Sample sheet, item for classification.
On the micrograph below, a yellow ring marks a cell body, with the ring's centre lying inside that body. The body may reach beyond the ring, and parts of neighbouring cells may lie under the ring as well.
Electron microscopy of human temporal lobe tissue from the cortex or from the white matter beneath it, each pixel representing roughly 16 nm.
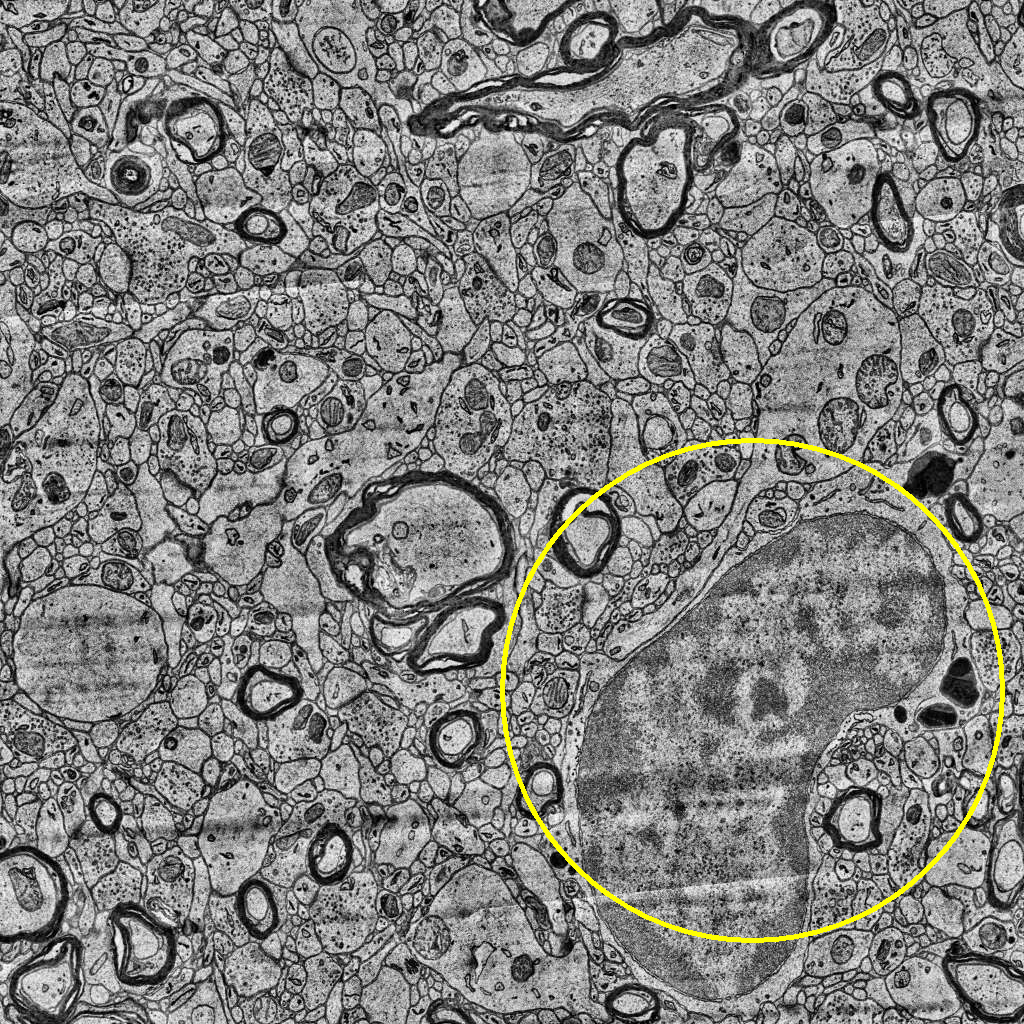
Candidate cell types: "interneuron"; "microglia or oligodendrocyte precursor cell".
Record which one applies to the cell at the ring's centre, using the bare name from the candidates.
microglia or oligodendrocyte precursor cell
